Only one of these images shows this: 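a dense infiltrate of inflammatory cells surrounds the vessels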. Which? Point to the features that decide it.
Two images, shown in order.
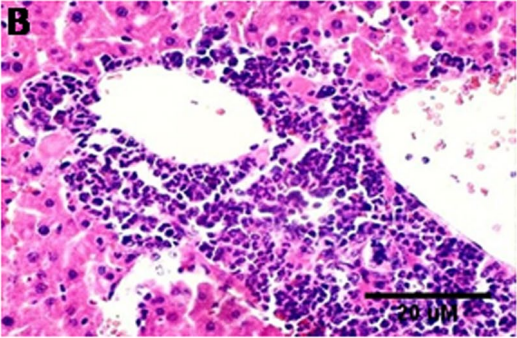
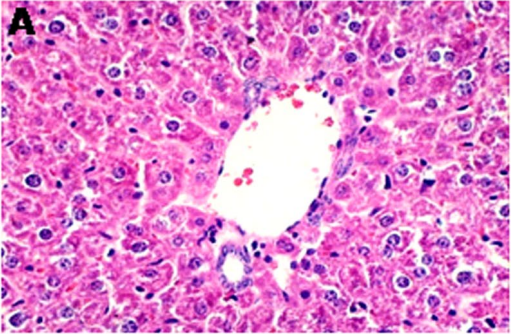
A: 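Second image: hepatocytes reach the vessel wall with only a few small nuclei around it. First image: masses of small dark round nuclei fill the tissue around the vessels.
Answer: the first image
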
